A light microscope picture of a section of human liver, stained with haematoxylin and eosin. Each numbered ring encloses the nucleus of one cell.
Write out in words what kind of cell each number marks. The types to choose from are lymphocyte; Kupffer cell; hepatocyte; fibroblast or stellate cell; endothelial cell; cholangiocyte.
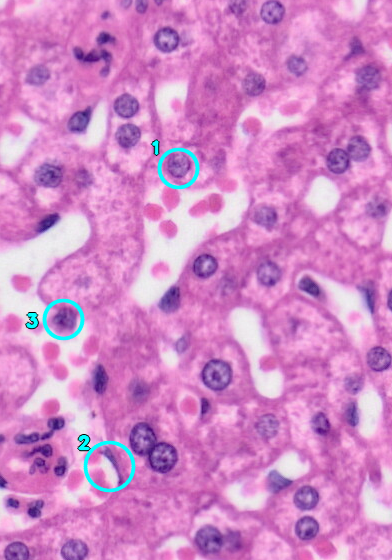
Cell 1 is a hepatocyte. Cell 2 is an endothelial cell. Cell 3 is a Kupffer cell.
